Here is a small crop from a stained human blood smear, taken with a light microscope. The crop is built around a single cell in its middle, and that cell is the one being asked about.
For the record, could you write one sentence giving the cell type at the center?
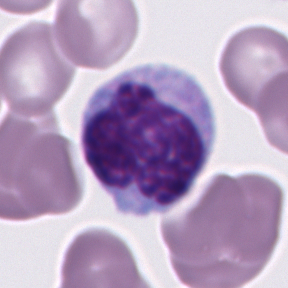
This crop has a monocyte at its centre.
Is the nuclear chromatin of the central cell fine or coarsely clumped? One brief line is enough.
Its chromatin is clumped in a coarse pattern.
